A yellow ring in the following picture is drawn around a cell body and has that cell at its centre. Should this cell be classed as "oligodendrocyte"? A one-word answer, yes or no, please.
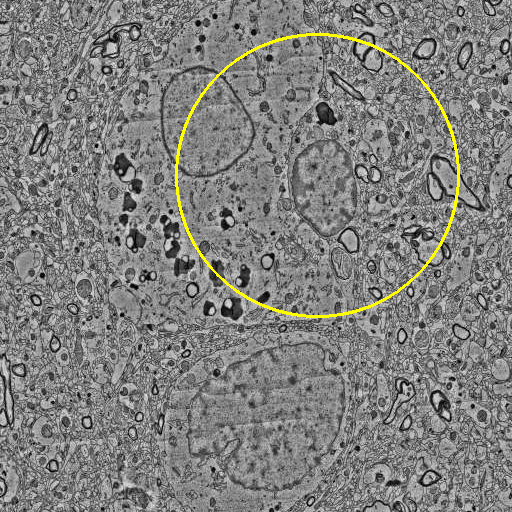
Yes, it is of that kind.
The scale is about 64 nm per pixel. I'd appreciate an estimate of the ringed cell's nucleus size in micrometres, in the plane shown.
Roughly 6 micrometres by 4 micrometres, in this plane.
